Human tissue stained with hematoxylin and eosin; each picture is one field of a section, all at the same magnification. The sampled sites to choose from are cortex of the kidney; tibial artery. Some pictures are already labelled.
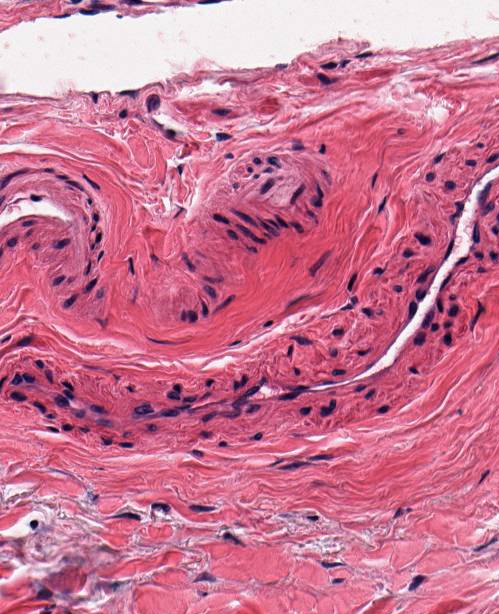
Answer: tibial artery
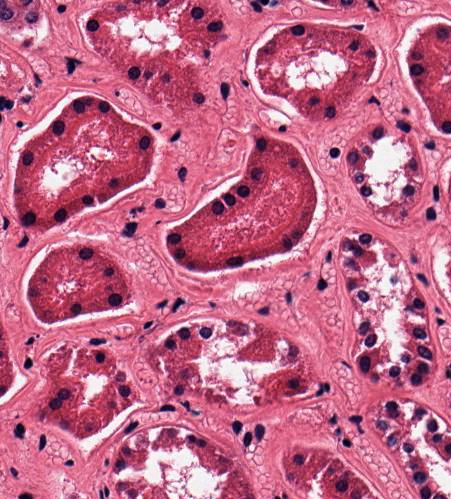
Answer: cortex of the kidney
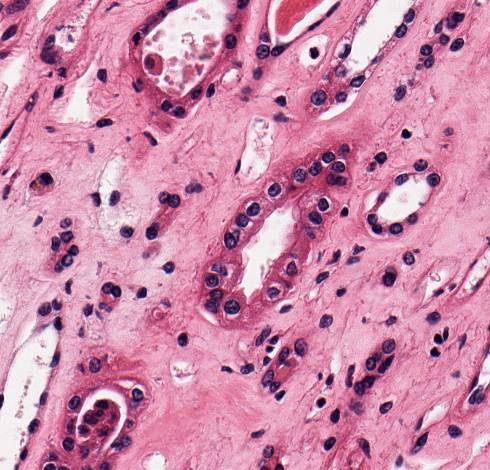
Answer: cortex of the kidney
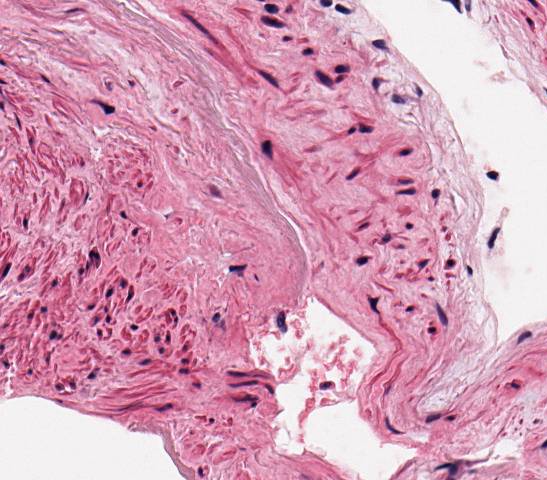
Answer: tibial artery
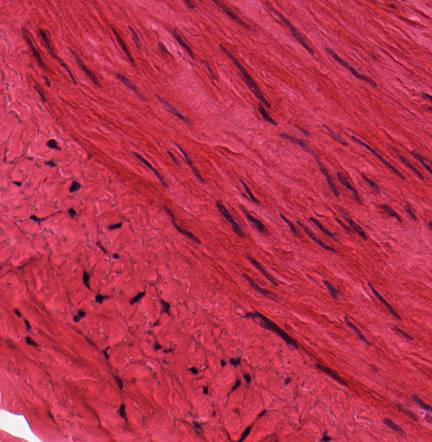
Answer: tibial artery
